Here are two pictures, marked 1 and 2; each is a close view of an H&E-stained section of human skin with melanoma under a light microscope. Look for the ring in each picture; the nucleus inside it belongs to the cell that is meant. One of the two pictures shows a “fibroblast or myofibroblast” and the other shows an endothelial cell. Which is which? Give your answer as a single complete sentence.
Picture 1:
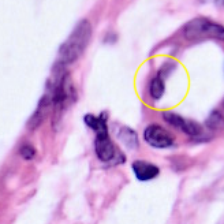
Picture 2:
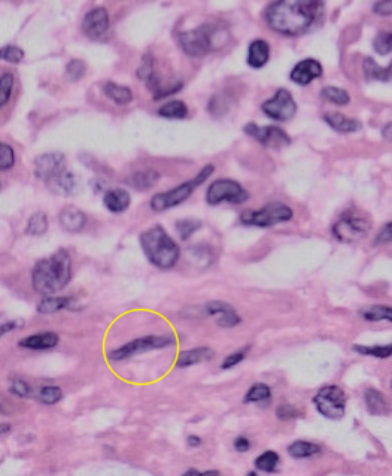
In picture 1 the cell is an endothelial cell; in picture 2, a “fibroblast or myofibroblast”.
